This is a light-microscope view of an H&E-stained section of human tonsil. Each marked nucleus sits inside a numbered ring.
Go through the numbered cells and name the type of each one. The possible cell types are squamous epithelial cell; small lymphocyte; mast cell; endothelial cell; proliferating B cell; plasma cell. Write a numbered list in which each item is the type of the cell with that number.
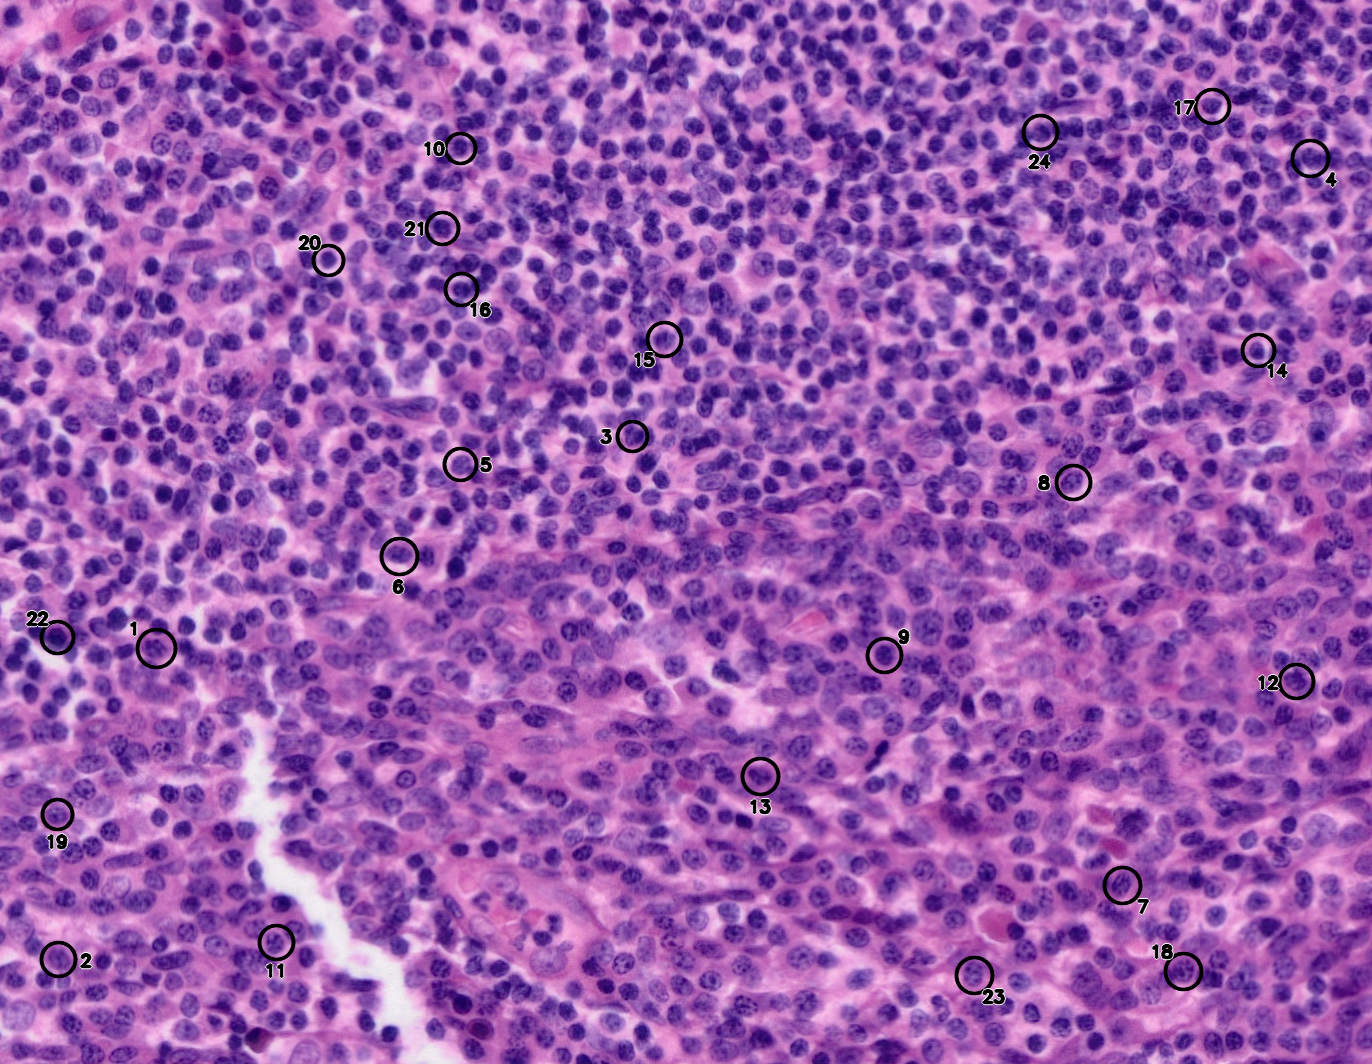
1. plasma cell
2. plasma cell
3. small lymphocyte
4. small lymphocyte
5. small lymphocyte
6. plasma cell
7. plasma cell
8. plasma cell
9. plasma cell
10. small lymphocyte
11. plasma cell
12. plasma cell
13. plasma cell
14. small lymphocyte
15. small lymphocyte
16. small lymphocyte
17. small lymphocyte
18. plasma cell
19. plasma cell
20. small lymphocyte
21. small lymphocyte
22. plasma cell
23. plasma cell
24. small lymphocyte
